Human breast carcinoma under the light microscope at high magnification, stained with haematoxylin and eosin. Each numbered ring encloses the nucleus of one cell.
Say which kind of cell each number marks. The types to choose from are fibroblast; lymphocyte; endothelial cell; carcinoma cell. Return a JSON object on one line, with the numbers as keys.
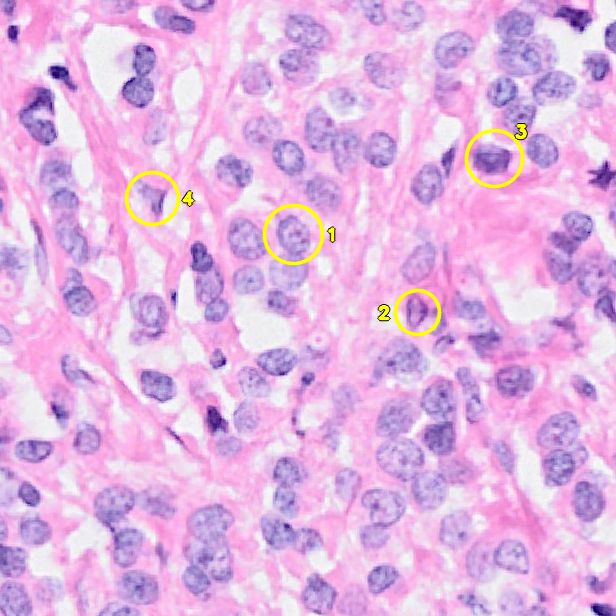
{"1": "carcinoma cell", "2": "endothelial cell", "3": "carcinoma cell", "4": "fibroblast"}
